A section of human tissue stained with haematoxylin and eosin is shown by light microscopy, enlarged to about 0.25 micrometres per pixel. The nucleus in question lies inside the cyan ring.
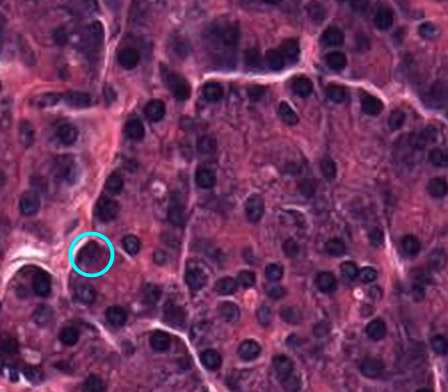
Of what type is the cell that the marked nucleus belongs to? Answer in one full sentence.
A nucleus of a pancreatic acinar cell is the one that is marked.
